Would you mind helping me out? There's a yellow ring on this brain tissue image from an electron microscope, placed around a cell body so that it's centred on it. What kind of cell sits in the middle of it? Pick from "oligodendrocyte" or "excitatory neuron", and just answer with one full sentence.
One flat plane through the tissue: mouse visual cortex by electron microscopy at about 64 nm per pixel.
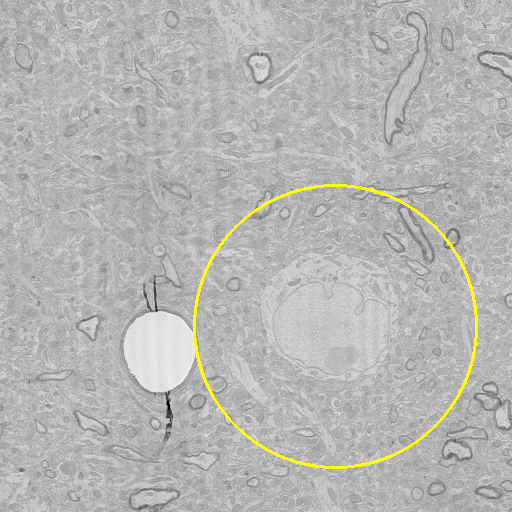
What sits in the middle of that yellow ring is an excitatory neuron, from your choices.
